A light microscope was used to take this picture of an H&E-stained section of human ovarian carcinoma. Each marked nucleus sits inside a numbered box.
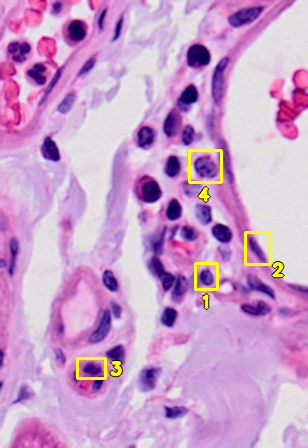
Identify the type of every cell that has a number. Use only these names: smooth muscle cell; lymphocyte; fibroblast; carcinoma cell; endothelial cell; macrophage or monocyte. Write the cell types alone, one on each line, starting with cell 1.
lymphocyte
endothelial cell
endothelial cell
lymphocyte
